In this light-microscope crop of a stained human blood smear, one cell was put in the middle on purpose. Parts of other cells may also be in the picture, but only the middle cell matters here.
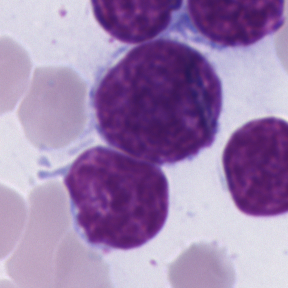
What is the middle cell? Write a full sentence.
Of the cells in this crop, the central one is a myeloblast.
